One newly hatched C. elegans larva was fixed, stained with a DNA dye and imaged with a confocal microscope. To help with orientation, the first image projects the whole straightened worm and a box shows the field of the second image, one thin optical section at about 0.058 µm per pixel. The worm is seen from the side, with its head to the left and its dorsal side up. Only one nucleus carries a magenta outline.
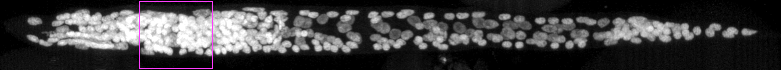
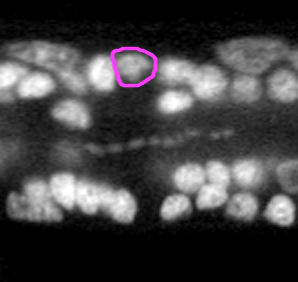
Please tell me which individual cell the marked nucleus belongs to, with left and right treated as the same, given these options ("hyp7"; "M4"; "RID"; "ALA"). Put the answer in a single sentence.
It belongs to RID, a neuron.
